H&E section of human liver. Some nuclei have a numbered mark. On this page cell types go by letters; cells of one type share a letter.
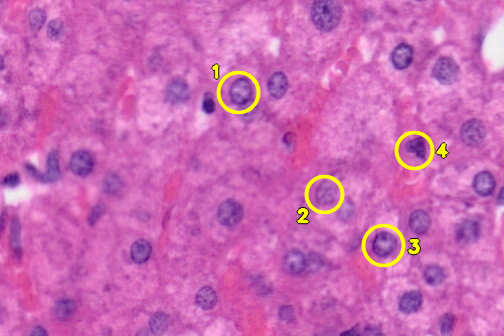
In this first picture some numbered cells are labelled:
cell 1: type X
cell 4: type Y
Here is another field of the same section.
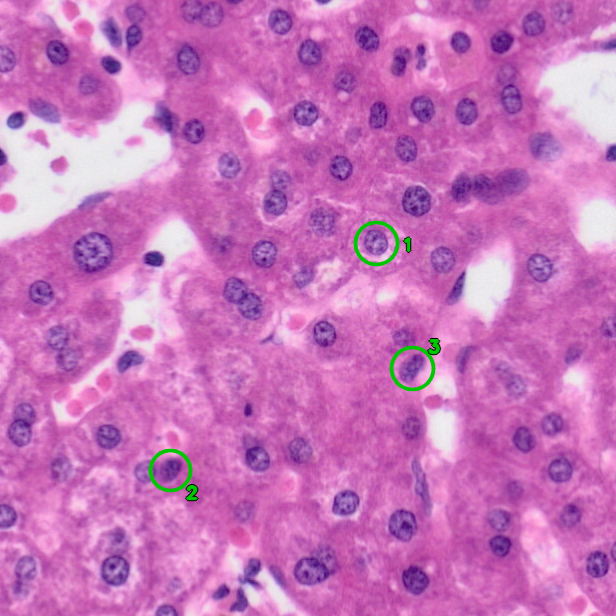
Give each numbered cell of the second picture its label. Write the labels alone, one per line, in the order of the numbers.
type X
type Y
type Y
